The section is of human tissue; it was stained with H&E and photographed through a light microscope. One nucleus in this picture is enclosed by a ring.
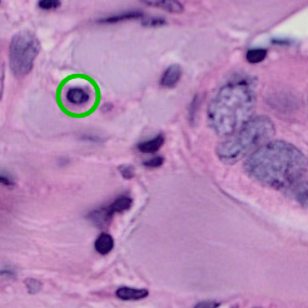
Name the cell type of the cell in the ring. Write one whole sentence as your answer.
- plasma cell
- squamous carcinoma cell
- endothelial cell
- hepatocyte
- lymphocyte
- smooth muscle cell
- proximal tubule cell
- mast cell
Recorded by type, the cell in the ring is a mast cell.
